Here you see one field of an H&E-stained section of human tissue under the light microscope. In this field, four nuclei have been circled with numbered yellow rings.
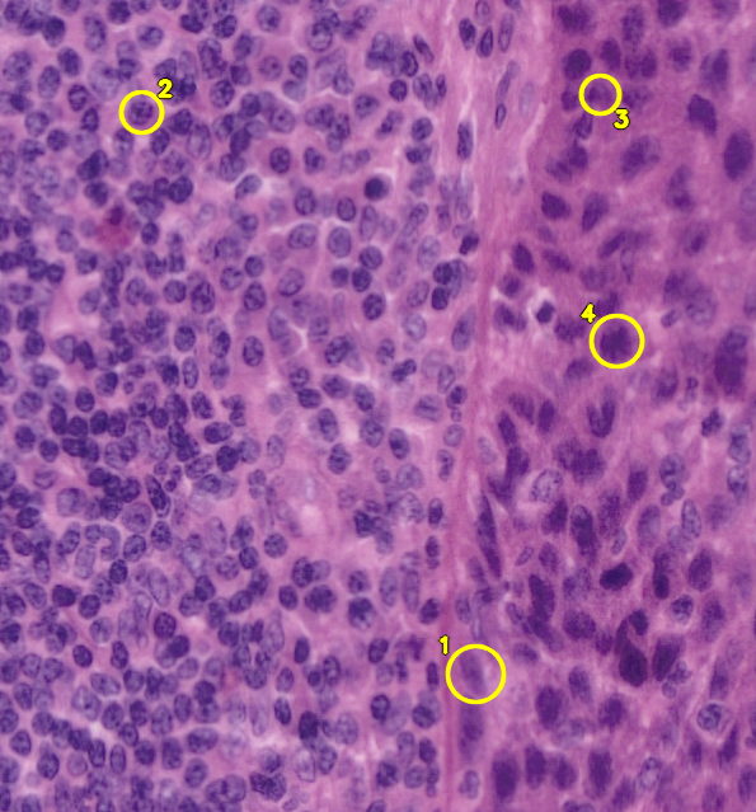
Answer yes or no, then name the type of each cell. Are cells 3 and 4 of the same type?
Yes, it is true that cells 3 and 4 are both squamous epithelial cells.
